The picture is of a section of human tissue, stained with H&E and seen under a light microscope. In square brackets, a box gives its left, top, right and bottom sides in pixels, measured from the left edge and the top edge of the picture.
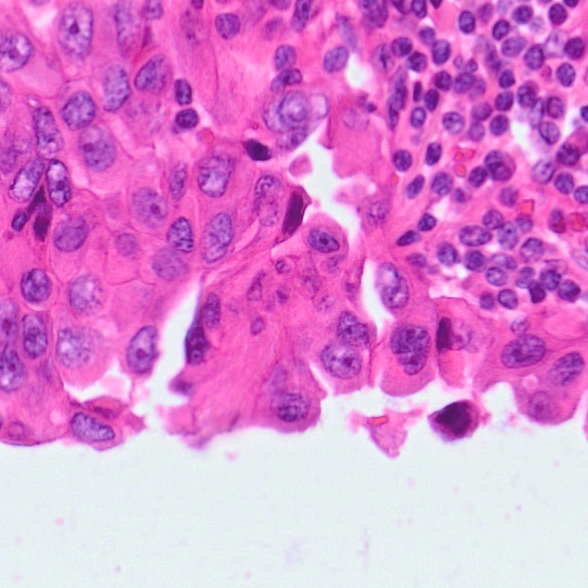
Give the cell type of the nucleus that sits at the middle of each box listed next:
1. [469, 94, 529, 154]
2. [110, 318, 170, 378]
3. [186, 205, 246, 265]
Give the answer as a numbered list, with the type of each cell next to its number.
1. lymphocyte
2. carcinoma cell
3. carcinoma cell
